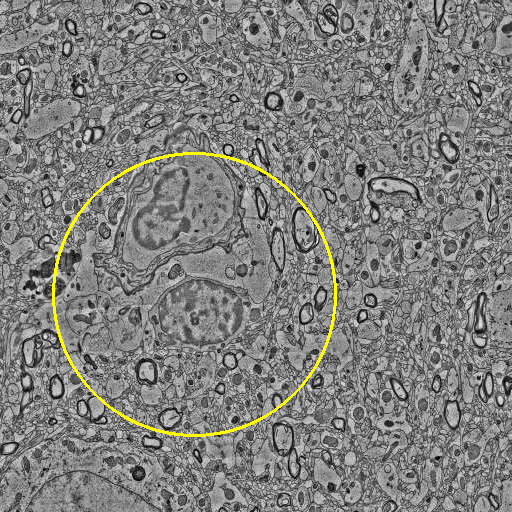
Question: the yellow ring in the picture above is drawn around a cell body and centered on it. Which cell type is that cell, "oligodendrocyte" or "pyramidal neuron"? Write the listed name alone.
oligodendrocyte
